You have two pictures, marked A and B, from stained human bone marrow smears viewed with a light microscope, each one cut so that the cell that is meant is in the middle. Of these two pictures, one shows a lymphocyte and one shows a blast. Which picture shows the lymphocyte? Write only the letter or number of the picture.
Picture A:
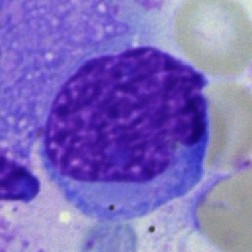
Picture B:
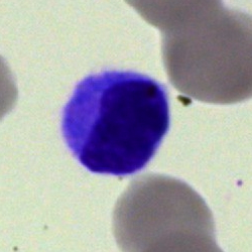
B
